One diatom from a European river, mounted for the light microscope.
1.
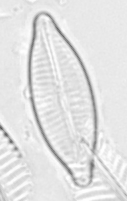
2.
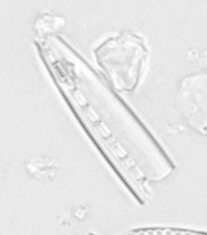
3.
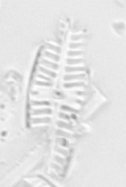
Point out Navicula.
That is picture 1.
